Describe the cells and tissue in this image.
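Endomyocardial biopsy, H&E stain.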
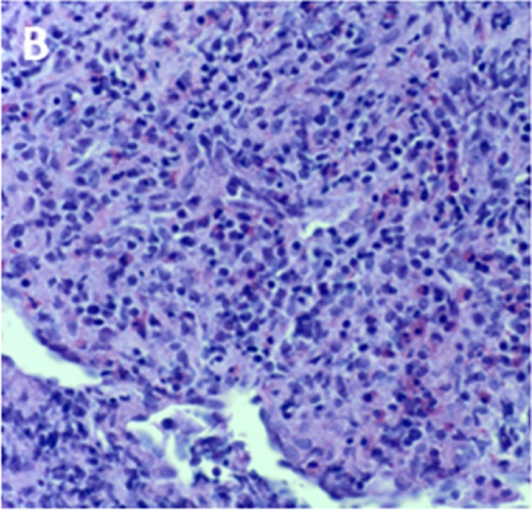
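This section of heart tissue is crowded with sheets of small cells whose nuclei are round, dense and dark blue, with very little cytoplasm around them. They lie so closely packed that little of the underlying muscle can be made out, only scattered pink cytoplasm between them. A few larger, paler, more oval nuclei are interspersed among the small dark ones. Narrow clear spaces, likely small vessels or tissue clefts, cut across the lower part of the field.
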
